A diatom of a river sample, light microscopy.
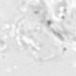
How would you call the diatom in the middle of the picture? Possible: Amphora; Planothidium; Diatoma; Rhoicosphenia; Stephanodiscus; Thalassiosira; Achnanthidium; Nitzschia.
I would call it Thalassiosira.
